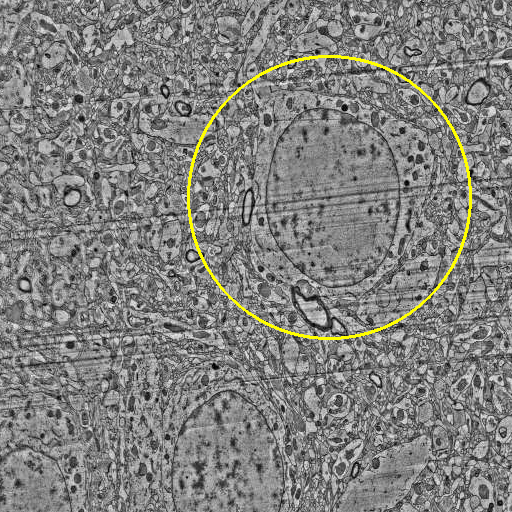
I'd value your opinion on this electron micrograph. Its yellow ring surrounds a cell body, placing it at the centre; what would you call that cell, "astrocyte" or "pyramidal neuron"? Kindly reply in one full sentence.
It is a pyramidal neuron that sits centred within the yellow ring in this micrograph.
